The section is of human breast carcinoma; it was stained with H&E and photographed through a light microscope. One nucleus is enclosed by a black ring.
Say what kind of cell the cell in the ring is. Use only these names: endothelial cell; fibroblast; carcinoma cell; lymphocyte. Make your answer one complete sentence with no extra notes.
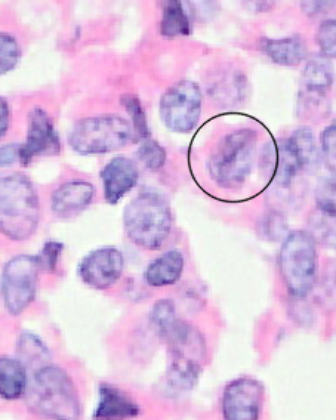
The identity of the cell in the ring: it is a carcinoma cell.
